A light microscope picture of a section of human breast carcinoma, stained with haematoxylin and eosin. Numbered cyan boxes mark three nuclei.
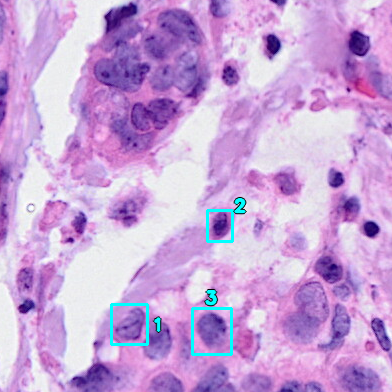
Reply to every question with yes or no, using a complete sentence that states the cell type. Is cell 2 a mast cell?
Yes, the cell identified by number 2 is a mast cell.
